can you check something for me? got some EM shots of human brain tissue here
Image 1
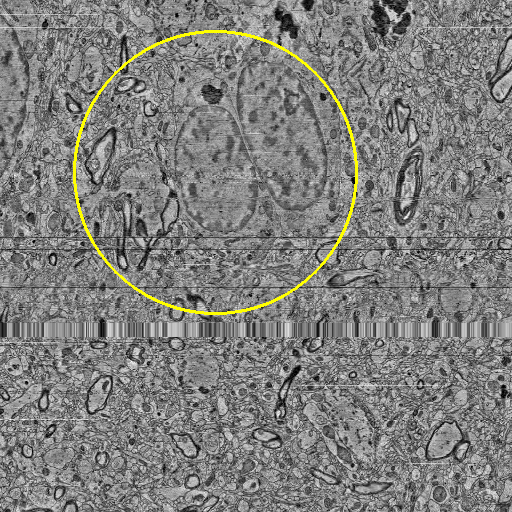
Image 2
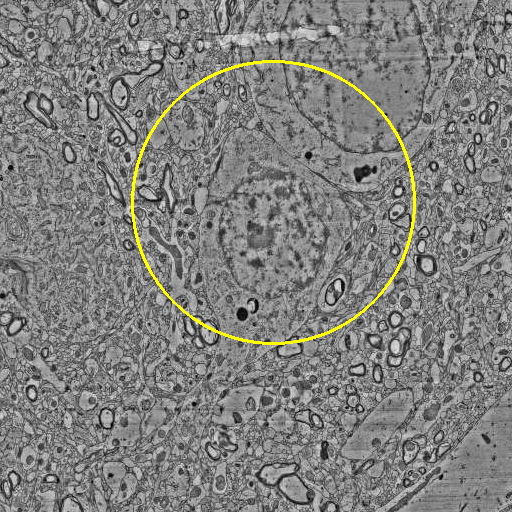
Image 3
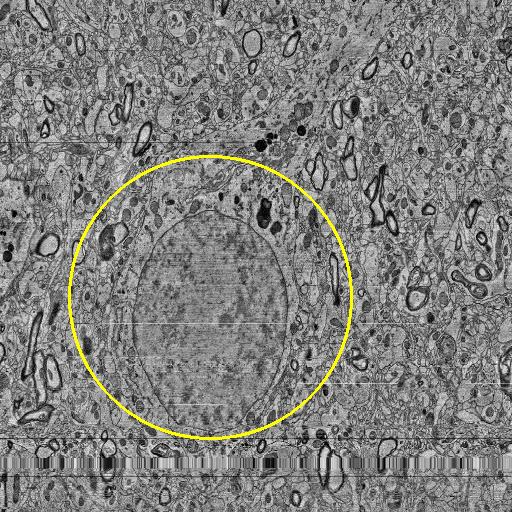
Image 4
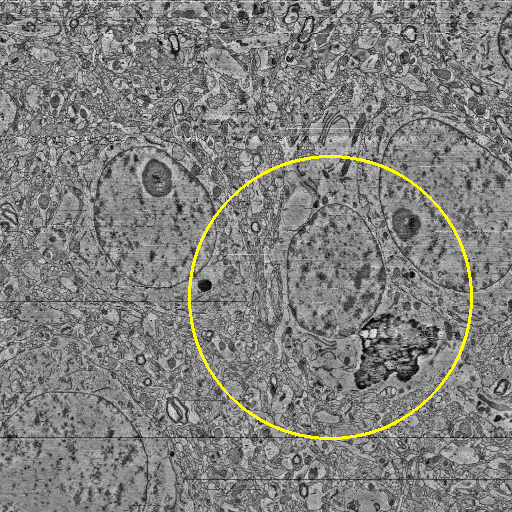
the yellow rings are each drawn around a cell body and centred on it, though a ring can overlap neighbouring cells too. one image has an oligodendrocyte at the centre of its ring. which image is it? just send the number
1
